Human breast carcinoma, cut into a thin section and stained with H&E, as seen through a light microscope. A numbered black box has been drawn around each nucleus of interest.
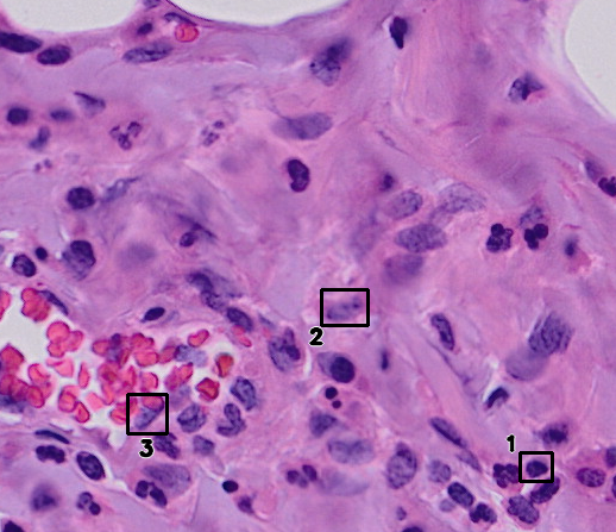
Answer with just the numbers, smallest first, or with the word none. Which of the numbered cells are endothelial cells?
3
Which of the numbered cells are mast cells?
2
